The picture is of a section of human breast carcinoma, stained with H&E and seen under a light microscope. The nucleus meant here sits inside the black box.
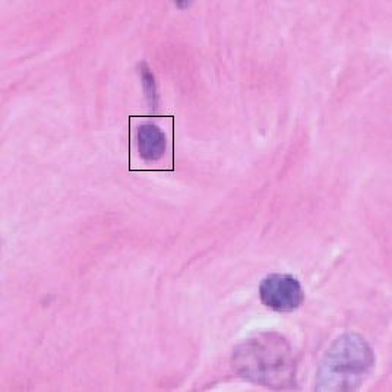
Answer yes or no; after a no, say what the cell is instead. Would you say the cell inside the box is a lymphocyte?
Yes.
